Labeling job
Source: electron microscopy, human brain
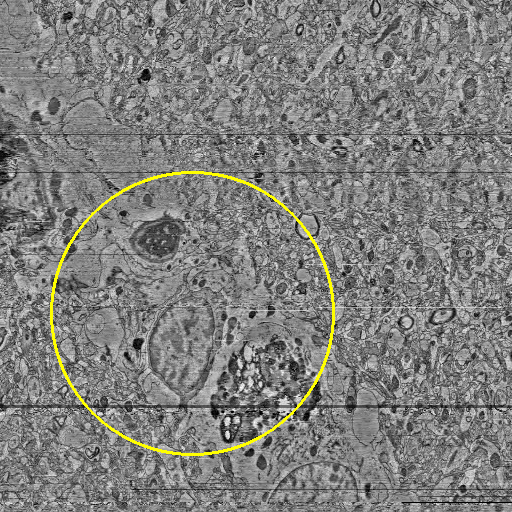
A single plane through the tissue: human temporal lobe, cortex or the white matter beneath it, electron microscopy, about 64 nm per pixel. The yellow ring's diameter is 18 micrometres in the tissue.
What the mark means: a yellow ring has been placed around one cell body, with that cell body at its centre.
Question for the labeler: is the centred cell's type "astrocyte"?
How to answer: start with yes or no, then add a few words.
No, its type is another one.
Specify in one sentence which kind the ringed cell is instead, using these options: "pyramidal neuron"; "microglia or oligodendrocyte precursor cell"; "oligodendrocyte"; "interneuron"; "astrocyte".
The cell enclosed by the ring is an oligodendrocyte.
